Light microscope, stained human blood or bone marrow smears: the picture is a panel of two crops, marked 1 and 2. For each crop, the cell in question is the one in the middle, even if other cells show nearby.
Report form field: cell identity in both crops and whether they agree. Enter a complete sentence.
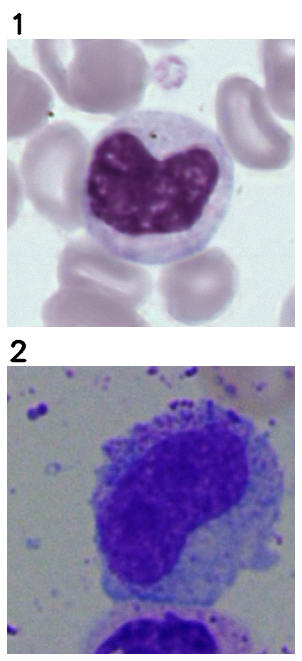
Yes, in the two crops, metamyelocytes are the cells at the centre.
